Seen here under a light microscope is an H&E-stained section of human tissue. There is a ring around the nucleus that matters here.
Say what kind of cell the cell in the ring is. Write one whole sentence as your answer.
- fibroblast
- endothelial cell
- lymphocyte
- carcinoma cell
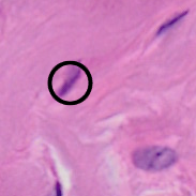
The cell in the ring appears to be a fibroblast.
